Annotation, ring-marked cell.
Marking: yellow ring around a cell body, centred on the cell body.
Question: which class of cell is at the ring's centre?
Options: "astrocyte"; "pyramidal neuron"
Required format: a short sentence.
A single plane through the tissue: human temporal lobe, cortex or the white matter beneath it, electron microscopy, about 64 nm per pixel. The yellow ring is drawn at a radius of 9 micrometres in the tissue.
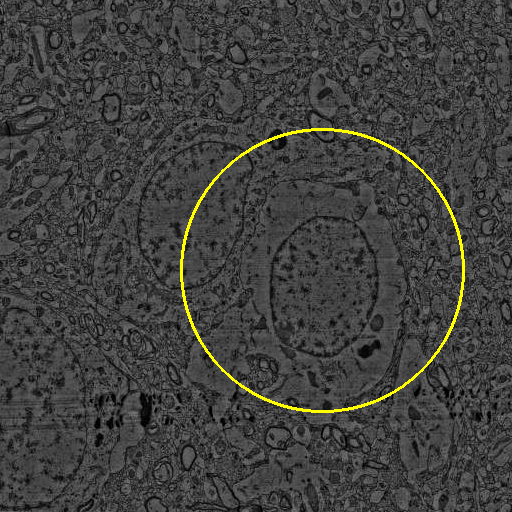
At the ring's centre is an astrocyte.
